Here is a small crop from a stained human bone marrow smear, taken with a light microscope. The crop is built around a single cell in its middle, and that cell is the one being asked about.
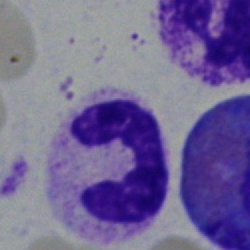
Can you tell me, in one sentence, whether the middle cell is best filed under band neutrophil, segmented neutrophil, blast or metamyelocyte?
Framed in the middle of the crop is a band neutrophil.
